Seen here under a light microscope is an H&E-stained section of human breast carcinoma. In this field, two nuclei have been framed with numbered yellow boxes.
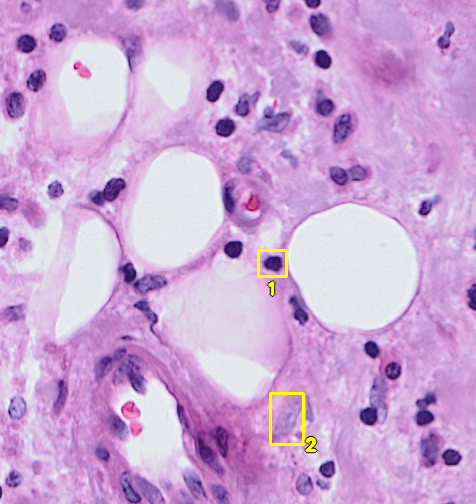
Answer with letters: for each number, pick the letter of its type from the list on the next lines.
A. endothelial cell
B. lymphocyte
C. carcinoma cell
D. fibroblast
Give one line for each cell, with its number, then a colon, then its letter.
1: B
2: D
